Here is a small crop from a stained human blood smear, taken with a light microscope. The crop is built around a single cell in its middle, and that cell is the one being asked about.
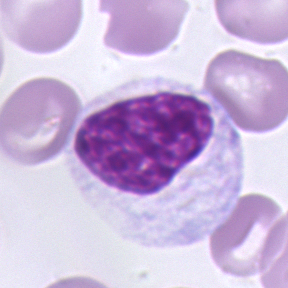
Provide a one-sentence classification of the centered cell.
Centred in the crop is a metamyelocyte.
